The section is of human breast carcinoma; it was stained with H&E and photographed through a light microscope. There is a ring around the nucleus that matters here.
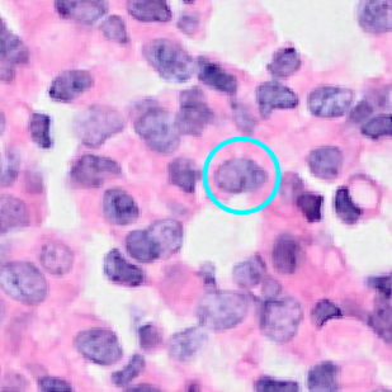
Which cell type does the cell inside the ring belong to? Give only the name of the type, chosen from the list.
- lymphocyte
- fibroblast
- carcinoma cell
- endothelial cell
carcinoma cell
